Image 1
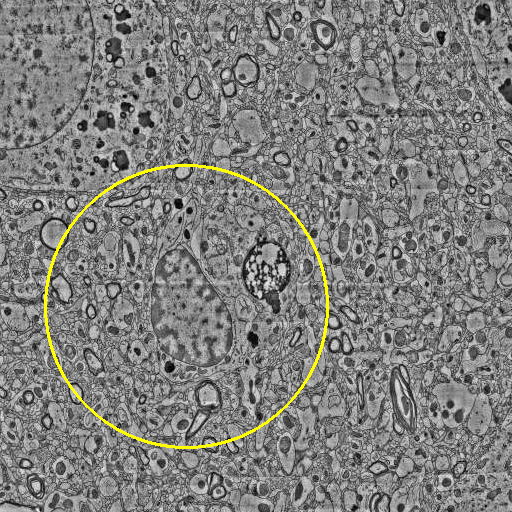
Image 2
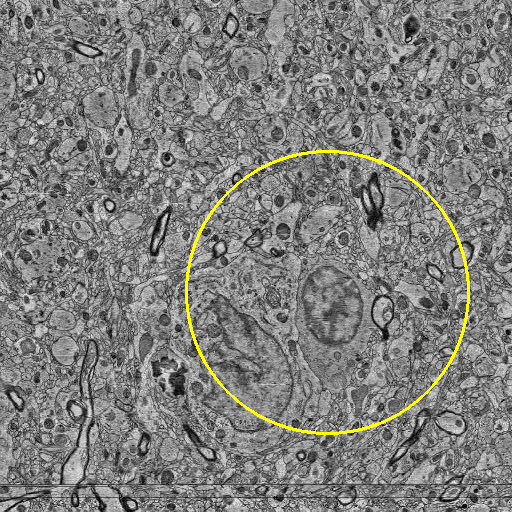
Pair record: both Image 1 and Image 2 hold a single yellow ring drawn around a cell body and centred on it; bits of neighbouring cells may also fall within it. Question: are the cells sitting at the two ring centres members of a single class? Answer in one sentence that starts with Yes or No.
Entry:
No, the ring-centre cells in Image 1 and Image 2 come from two classes.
